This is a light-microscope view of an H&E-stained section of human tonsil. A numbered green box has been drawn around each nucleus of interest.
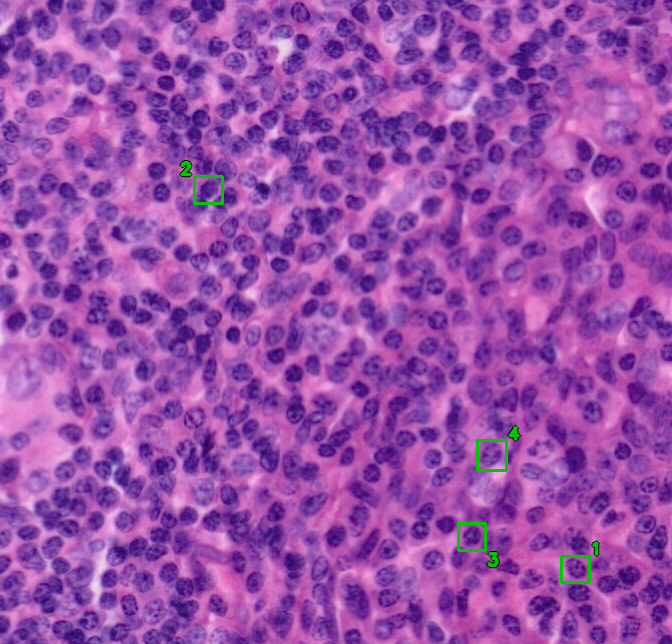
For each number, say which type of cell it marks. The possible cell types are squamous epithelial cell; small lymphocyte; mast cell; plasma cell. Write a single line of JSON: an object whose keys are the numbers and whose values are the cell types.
{"1": "plasma cell", "2": "small lymphocyte", "3": "plasma cell", "4": "plasma cell"}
